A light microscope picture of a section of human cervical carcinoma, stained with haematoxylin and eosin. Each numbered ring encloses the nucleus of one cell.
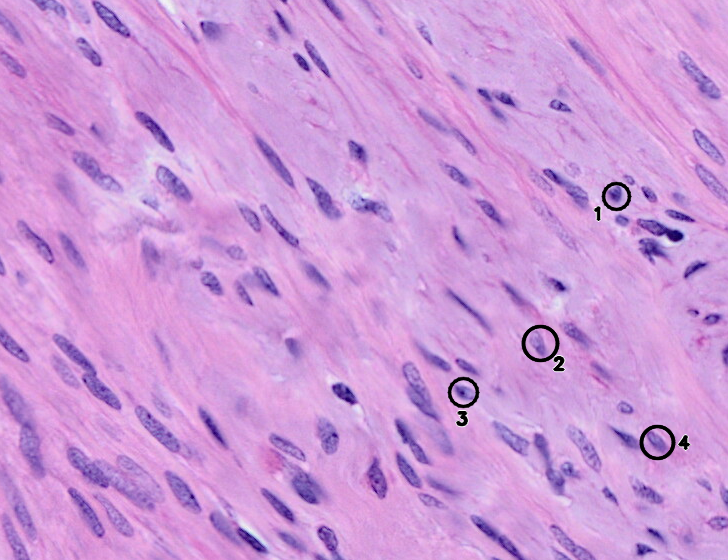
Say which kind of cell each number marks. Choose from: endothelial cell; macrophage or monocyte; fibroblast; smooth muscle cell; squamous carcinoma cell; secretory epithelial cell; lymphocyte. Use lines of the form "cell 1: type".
cell 1: fibroblast
cell 2: fibroblast
cell 3: fibroblast
cell 4: smooth muscle cell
